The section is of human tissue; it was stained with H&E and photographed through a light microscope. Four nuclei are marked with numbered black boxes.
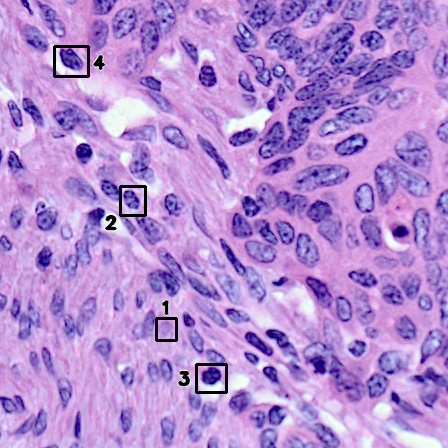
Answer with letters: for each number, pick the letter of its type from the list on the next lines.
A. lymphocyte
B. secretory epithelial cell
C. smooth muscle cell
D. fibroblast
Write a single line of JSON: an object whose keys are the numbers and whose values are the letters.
{"1": "C", "2": "A", "3": "A", "4": "A"}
